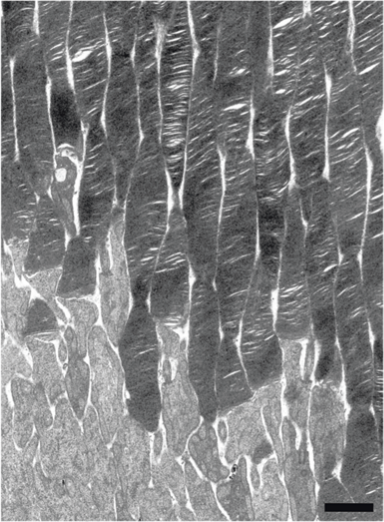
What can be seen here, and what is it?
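Retina at the level of the rod photoreceptor outer segments and their bases. Long, dark, parallel profiles fill the upper part of the field, each packed with finely stacked membranes and separated by thin white clefts. Small elongated white gaps lie within the stacks. Spaces between these lower profiles are clear and white. Overall, this is an orderly palisade of rod outer segments seen in longitudinal section.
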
